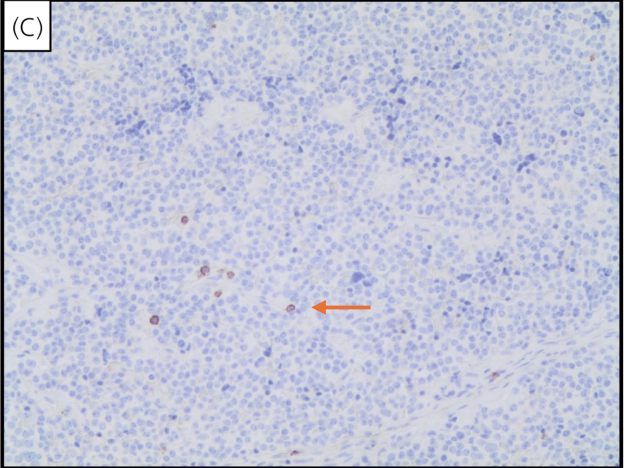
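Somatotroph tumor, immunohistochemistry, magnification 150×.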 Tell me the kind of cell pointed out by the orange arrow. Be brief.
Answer: Lymphocytes.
